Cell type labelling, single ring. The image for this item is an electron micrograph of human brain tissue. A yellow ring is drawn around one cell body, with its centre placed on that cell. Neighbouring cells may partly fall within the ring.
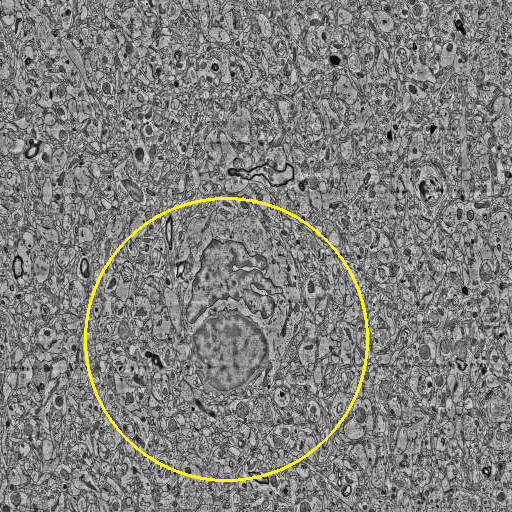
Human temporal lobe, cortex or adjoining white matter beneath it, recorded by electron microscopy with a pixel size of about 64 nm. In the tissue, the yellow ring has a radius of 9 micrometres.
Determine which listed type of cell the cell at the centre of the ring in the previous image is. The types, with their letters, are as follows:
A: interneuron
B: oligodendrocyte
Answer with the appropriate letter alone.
B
